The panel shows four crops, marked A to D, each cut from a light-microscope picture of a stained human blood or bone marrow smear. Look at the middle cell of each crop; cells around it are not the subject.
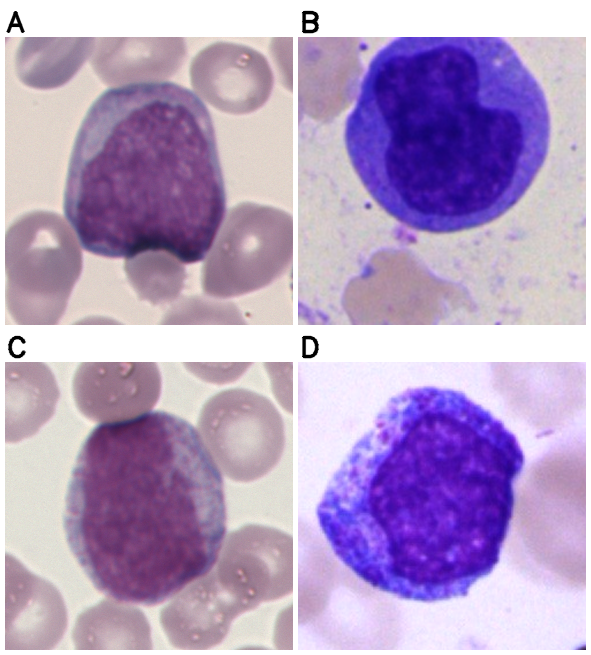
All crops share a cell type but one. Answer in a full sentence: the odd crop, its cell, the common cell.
With the other crops all showing promyelocytes, crop B differs by showing a monocyte.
